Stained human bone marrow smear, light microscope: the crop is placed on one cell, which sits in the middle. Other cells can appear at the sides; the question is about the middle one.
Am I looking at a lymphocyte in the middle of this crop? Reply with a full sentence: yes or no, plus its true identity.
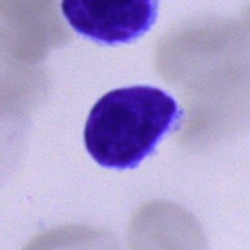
Yes, the middle cell is classified as a lymphocyte.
